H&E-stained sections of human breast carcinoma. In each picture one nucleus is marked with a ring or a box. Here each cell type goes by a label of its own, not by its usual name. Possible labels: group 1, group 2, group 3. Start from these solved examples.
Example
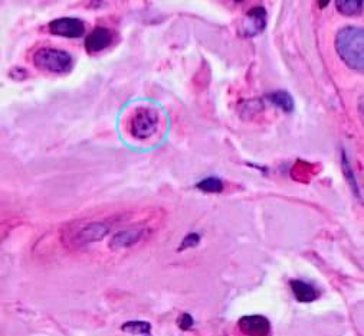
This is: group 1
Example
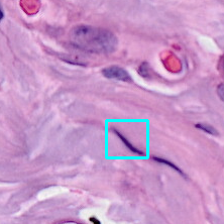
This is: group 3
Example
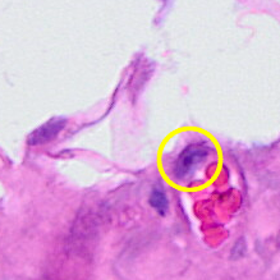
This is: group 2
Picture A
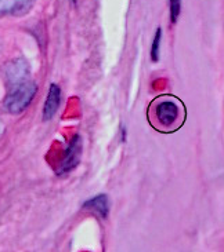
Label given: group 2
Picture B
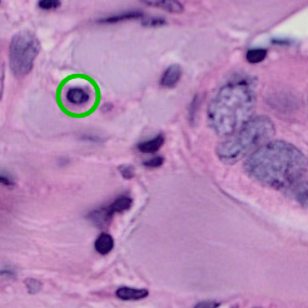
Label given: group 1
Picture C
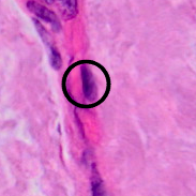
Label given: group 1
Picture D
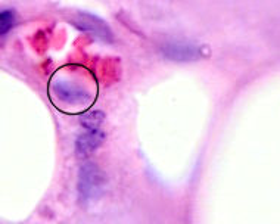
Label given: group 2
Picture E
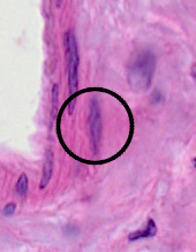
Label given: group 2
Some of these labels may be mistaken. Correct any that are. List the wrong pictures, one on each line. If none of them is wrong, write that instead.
A: group 1, not group 2
C: group 2, not group 1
